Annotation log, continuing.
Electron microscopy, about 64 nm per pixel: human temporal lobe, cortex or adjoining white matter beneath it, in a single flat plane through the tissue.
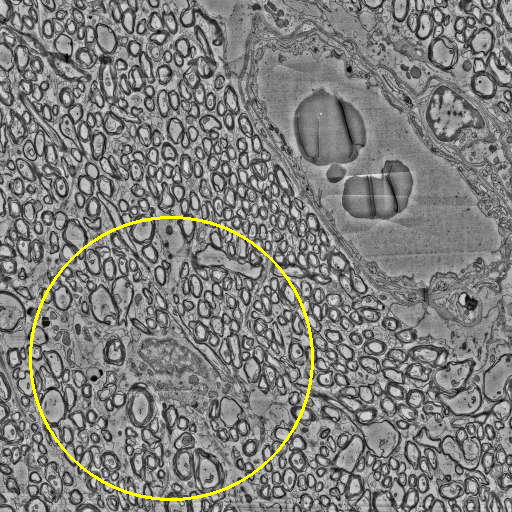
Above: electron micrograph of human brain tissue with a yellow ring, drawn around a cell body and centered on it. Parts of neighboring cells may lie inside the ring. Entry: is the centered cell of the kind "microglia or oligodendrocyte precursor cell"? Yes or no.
No, the centered cell is of another kind.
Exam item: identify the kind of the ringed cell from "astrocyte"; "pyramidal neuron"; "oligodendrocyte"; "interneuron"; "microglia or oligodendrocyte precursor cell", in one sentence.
Sitting at the ring centre is an oligodendrocyte.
